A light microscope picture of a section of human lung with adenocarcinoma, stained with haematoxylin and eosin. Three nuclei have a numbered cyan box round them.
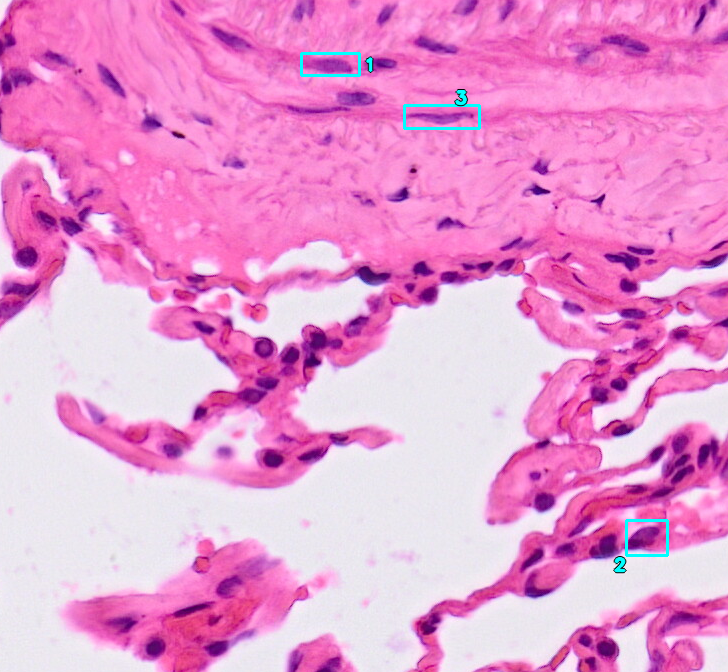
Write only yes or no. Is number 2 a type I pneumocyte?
yes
